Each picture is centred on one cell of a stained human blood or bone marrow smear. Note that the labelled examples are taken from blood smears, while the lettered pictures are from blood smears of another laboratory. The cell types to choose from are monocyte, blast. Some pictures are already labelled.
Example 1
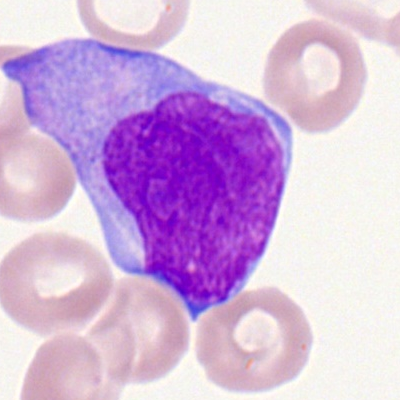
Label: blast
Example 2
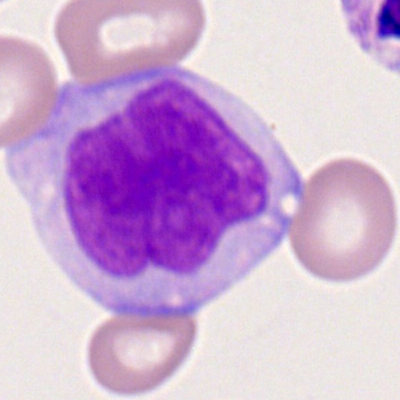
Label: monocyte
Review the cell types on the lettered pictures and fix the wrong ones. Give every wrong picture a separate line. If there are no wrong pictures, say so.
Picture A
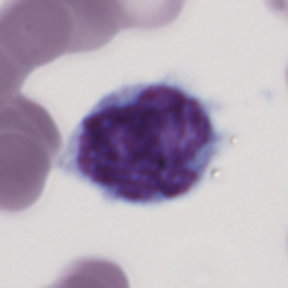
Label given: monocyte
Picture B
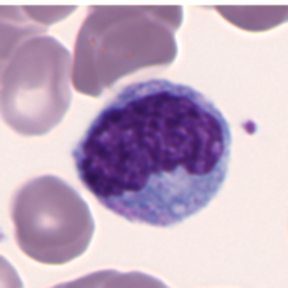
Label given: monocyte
Every label is right.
